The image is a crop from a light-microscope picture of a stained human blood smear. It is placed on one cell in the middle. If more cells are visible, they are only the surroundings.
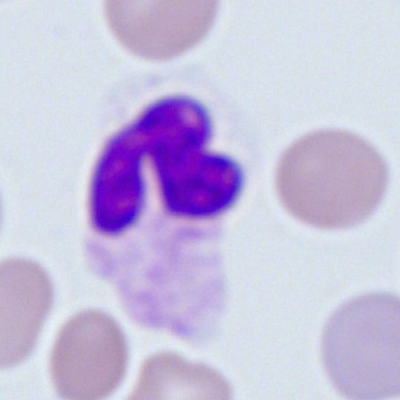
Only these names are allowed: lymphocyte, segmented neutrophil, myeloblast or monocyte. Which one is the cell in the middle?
segmented neutrophil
